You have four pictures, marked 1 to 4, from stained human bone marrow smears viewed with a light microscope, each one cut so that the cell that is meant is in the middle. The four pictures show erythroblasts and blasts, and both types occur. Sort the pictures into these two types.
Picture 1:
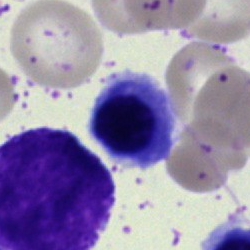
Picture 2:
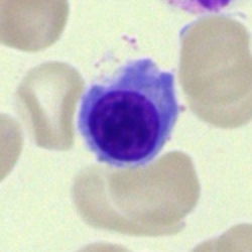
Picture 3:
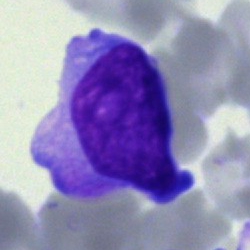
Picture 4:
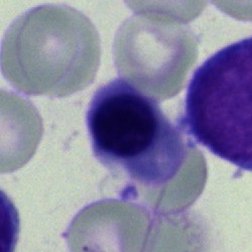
1: erythroblast
2: erythroblast
3: blast
4: erythroblast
